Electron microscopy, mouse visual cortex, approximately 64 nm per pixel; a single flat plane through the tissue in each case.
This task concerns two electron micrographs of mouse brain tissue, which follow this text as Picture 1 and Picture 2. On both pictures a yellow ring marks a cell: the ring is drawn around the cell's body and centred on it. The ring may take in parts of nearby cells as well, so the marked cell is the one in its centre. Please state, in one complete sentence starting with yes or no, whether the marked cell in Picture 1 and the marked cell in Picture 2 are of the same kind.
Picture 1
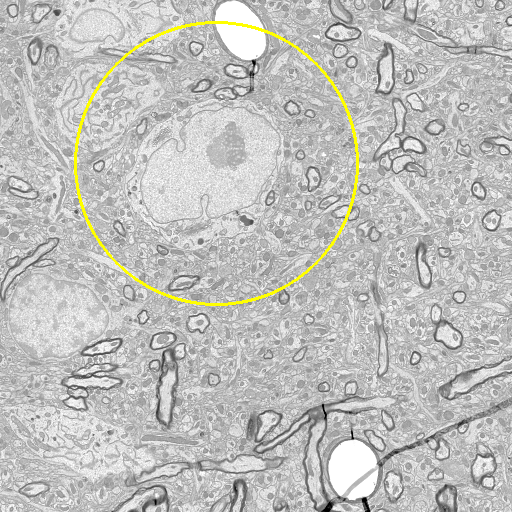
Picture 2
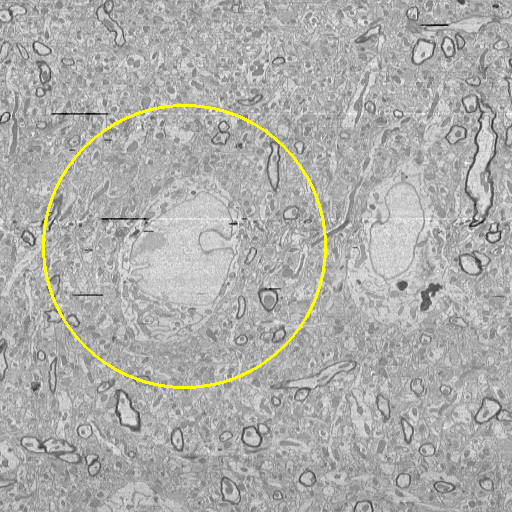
Yes, the marked cells in both pictures are of the same kind.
